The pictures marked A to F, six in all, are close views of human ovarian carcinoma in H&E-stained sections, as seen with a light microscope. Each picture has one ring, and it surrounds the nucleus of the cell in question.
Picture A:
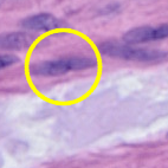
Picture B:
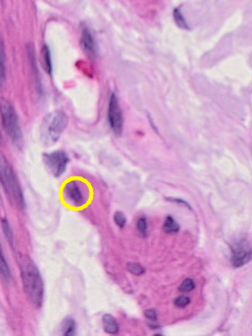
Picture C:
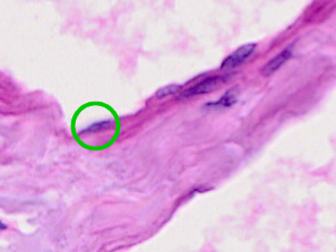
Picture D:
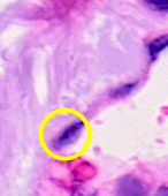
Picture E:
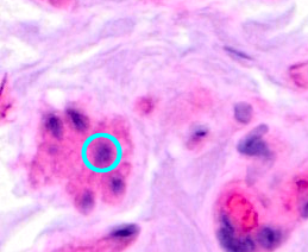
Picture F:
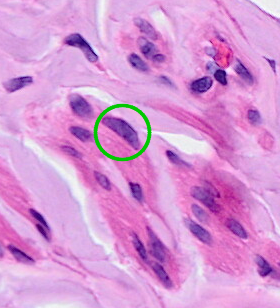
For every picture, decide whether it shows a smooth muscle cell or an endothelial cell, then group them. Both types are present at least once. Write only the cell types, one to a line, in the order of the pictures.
smooth muscle cell
smooth muscle cell
endothelial cell
endothelial cell
smooth muscle cell
smooth muscle cell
